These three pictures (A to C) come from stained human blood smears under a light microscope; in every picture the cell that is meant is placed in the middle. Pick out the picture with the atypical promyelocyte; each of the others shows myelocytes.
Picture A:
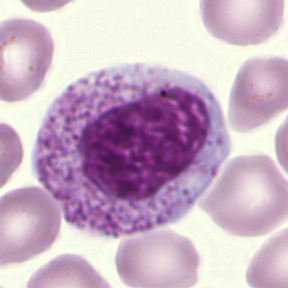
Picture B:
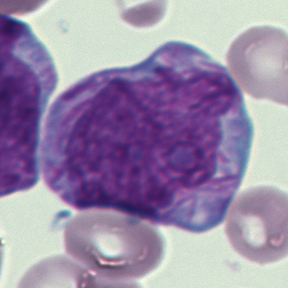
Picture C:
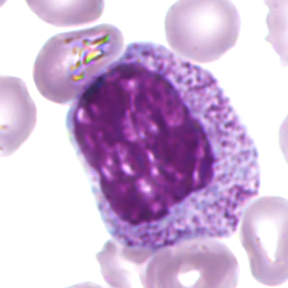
B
